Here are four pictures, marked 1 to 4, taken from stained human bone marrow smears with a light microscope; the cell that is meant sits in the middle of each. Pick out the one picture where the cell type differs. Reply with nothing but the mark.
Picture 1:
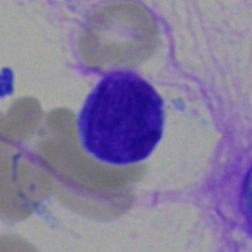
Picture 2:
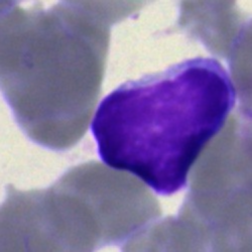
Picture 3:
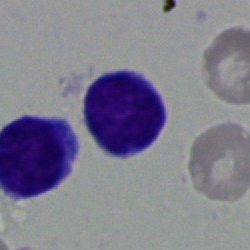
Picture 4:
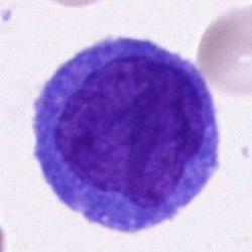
4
